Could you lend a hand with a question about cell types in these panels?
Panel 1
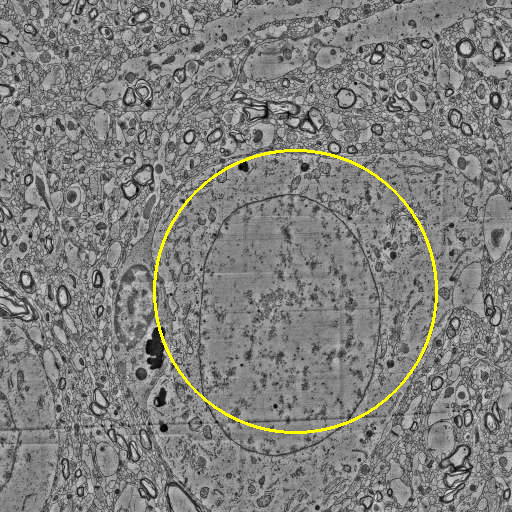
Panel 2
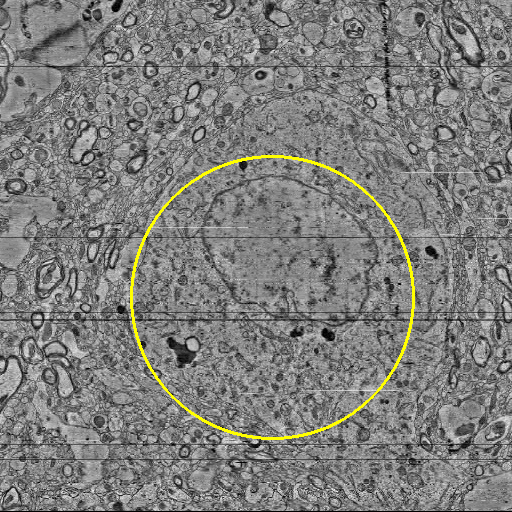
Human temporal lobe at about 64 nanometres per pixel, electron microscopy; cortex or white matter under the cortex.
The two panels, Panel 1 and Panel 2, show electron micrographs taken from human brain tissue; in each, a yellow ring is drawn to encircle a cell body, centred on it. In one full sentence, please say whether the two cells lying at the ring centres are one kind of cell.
Yes, the cells at the ring centres in the two panels are one kind of cell.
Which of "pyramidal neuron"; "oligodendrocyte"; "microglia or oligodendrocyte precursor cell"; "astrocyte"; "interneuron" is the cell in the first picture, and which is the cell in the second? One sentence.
In each picture the ringed cell is a pyramidal neuron.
